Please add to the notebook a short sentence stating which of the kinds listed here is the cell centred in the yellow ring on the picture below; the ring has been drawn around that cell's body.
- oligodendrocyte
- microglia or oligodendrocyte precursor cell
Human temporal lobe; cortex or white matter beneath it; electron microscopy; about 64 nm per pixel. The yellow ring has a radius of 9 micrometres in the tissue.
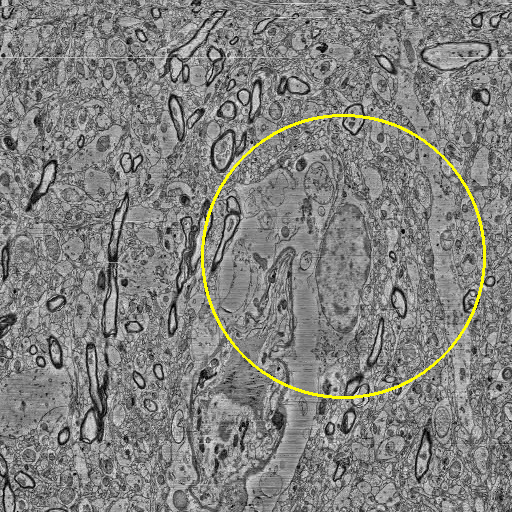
The cell centred in the yellow ring is a microglial cell or oligodendrocyte precursor cell.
